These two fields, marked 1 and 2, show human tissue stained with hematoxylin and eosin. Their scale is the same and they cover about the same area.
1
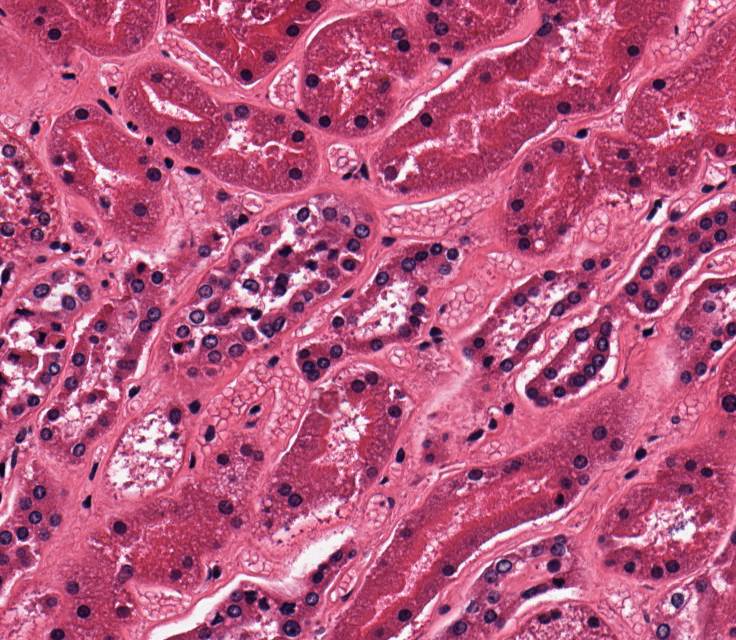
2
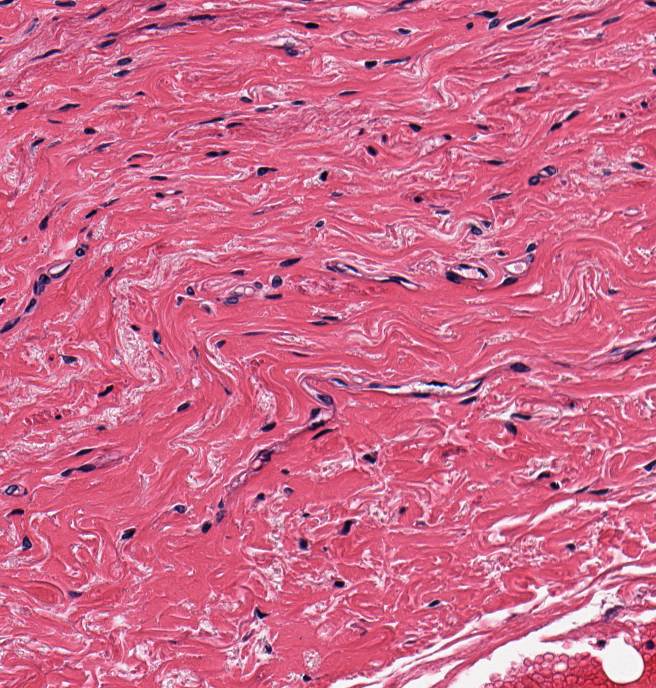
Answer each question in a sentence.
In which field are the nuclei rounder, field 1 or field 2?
The nuclei are rounder in field 1.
